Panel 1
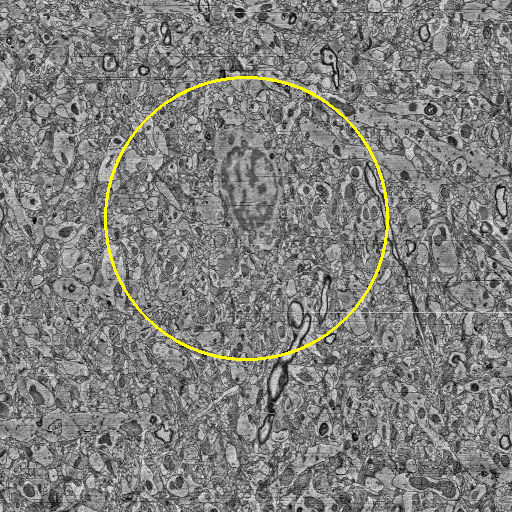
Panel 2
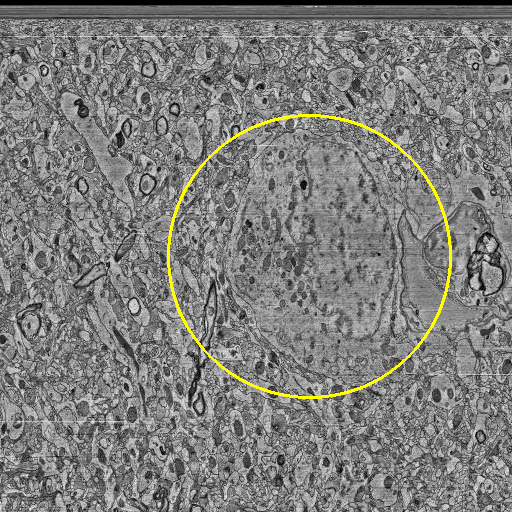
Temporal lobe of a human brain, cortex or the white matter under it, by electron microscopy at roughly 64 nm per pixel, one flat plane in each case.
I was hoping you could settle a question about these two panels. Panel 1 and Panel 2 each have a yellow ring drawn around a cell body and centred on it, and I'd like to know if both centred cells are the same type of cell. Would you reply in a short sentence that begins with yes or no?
No, they are two types of cell.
